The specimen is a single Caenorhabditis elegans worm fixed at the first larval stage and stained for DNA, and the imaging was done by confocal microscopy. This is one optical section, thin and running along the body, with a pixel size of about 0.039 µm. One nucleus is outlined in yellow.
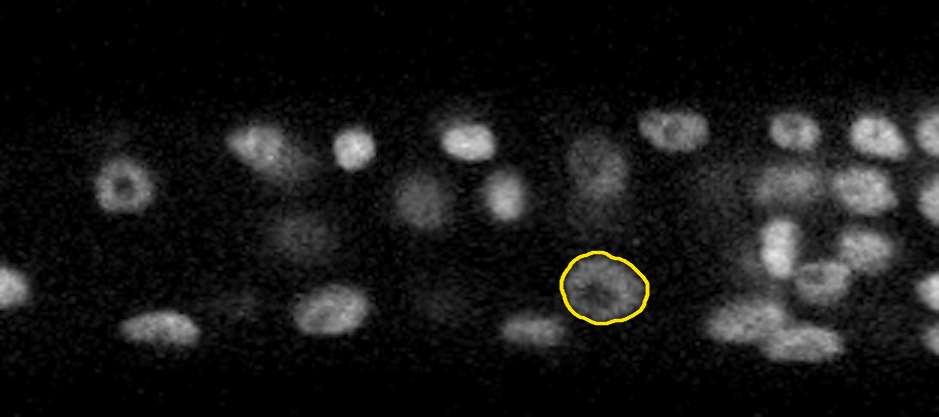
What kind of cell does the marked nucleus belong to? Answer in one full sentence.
It is the nucleus of an intestinal cell.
